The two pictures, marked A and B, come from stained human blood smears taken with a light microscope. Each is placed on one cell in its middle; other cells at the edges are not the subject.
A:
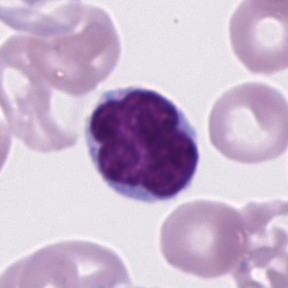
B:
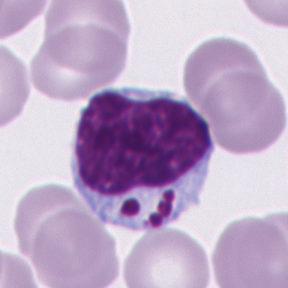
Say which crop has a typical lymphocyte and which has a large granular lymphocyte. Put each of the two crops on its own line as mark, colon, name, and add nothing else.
A: typical lymphocyte
B: large granular lymphocyte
